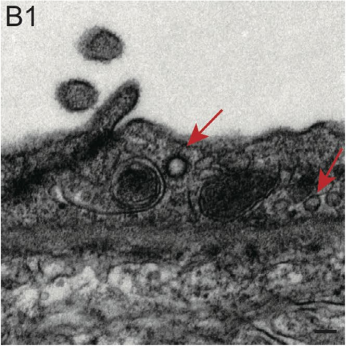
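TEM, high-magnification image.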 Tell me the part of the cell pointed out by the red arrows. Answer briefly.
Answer: endothelial vesicles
